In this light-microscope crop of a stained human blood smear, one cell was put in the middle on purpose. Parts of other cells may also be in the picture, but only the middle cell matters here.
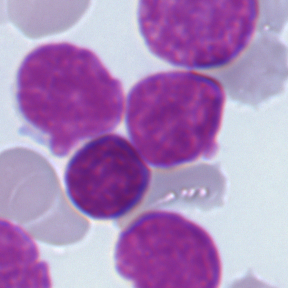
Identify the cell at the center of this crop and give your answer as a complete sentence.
The cell at the heart of this crop is a myeloblast.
